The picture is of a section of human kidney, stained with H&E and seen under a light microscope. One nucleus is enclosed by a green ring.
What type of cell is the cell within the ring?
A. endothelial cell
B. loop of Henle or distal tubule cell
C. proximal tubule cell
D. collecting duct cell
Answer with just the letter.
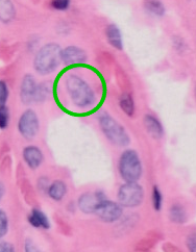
D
